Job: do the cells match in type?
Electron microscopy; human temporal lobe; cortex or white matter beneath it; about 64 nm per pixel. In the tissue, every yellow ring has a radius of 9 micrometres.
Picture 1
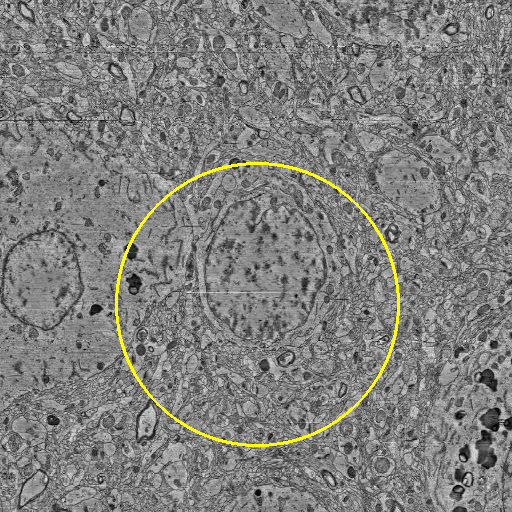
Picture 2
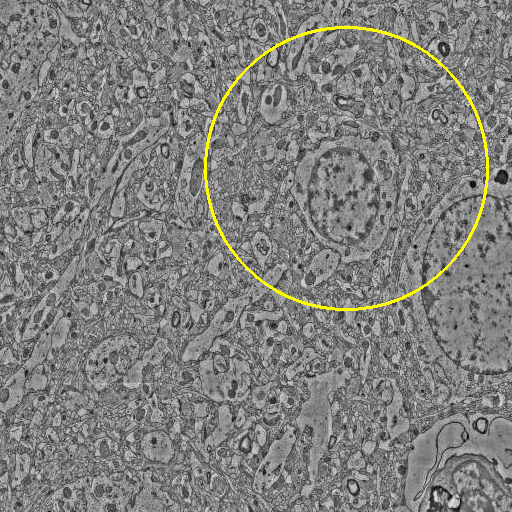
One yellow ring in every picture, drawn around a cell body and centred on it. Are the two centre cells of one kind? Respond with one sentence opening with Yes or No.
Yes, the ringed cells in the two pictures are of one and the same kind.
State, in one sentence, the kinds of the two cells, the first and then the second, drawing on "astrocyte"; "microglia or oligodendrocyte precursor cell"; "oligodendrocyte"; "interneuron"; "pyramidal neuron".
The ring centre holds an interneuron in each of the two pictures.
